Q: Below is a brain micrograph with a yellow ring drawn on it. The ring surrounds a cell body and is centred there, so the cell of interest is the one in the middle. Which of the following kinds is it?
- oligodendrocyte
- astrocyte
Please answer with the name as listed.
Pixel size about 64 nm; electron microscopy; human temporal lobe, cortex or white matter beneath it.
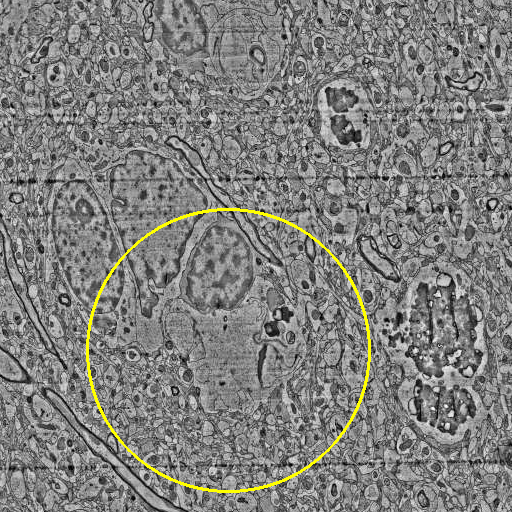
astrocyte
